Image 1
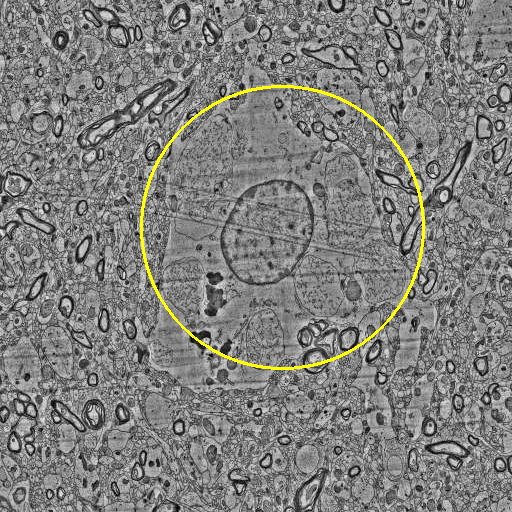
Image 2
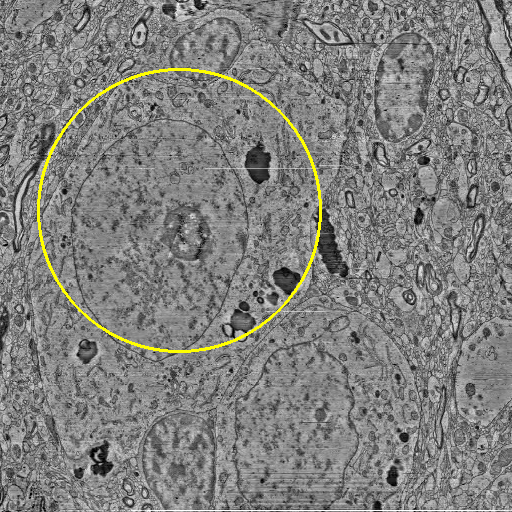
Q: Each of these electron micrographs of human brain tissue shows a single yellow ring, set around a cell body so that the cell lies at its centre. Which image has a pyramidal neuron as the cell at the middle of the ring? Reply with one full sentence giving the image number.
In image 2, the cell lying at the ring's centre is the requested one.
